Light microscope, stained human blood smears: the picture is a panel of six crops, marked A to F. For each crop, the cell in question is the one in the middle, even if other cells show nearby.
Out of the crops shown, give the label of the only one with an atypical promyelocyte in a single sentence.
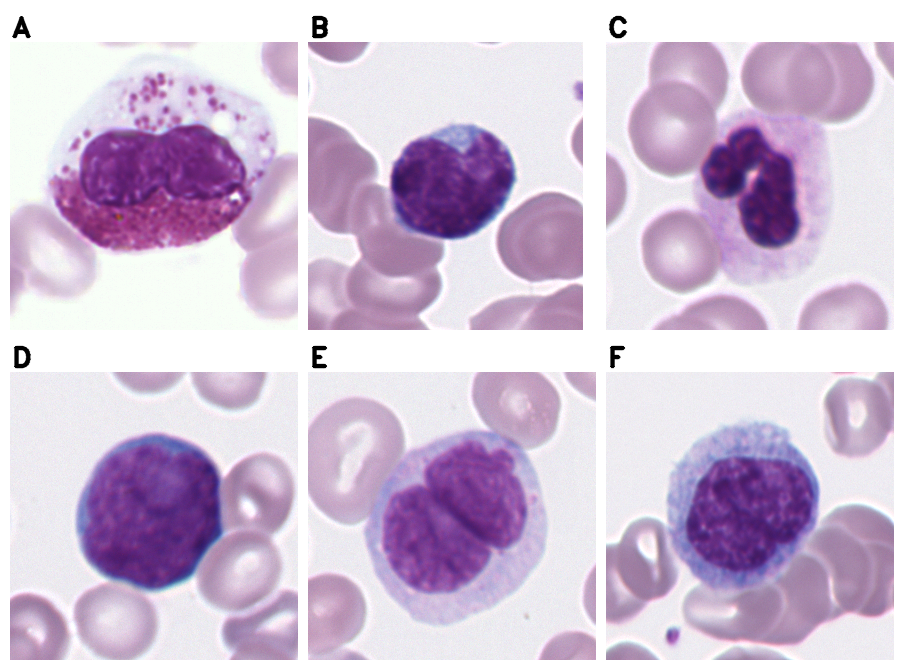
So the crop with an atypical promyelocyte at its center is crop E.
